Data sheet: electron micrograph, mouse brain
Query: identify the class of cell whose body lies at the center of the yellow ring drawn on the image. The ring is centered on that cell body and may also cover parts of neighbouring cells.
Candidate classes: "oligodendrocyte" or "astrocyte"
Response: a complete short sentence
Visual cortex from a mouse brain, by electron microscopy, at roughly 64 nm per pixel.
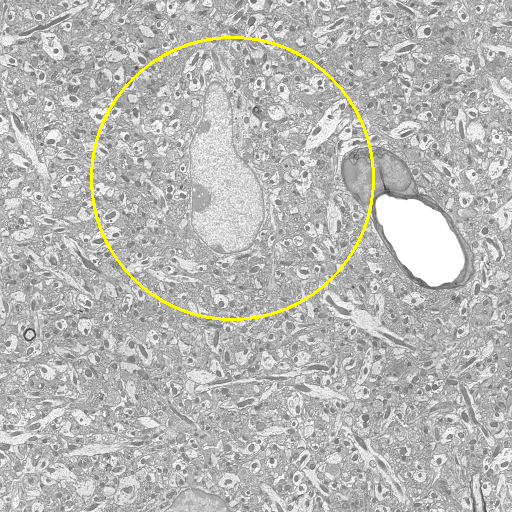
At the center of the ring lies an astrocyte.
